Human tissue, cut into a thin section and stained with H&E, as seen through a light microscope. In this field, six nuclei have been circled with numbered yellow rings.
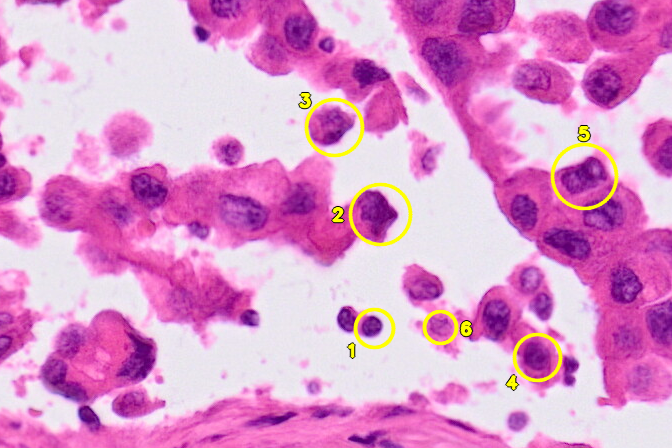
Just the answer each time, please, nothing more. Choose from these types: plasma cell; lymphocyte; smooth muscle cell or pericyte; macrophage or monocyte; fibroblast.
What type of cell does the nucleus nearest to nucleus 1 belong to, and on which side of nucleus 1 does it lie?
a lymphocyte, to the left of nucleus 1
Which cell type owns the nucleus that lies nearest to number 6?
macrophage or monocyte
